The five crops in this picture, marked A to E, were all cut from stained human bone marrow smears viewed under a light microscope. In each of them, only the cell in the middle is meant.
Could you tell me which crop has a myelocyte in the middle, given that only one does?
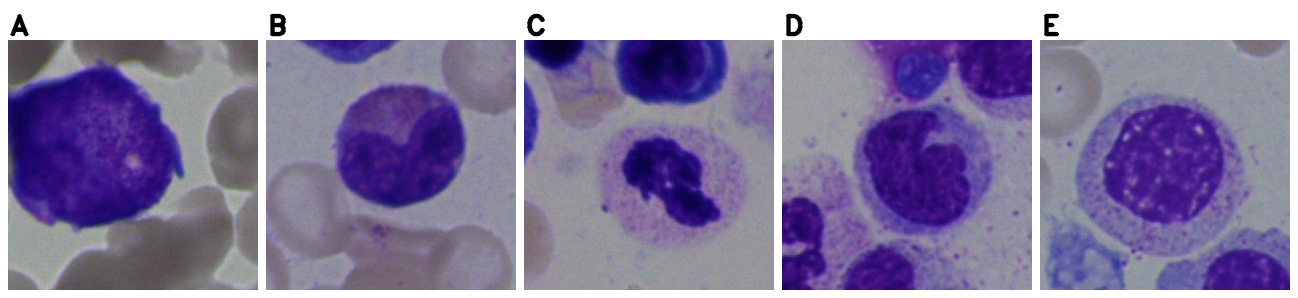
E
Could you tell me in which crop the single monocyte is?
D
